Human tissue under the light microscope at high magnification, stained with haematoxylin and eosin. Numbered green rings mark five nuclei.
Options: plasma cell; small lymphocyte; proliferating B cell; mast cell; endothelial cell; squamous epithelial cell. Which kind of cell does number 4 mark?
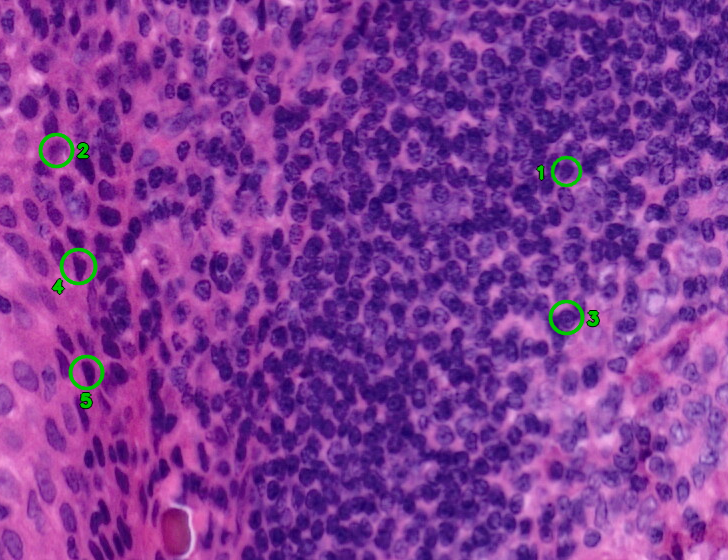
squamous epithelial cell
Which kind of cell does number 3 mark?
small lymphocyte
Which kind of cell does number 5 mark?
squamous epithelial cell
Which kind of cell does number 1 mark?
small lymphocyte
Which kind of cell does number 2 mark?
squamous epithelial cell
